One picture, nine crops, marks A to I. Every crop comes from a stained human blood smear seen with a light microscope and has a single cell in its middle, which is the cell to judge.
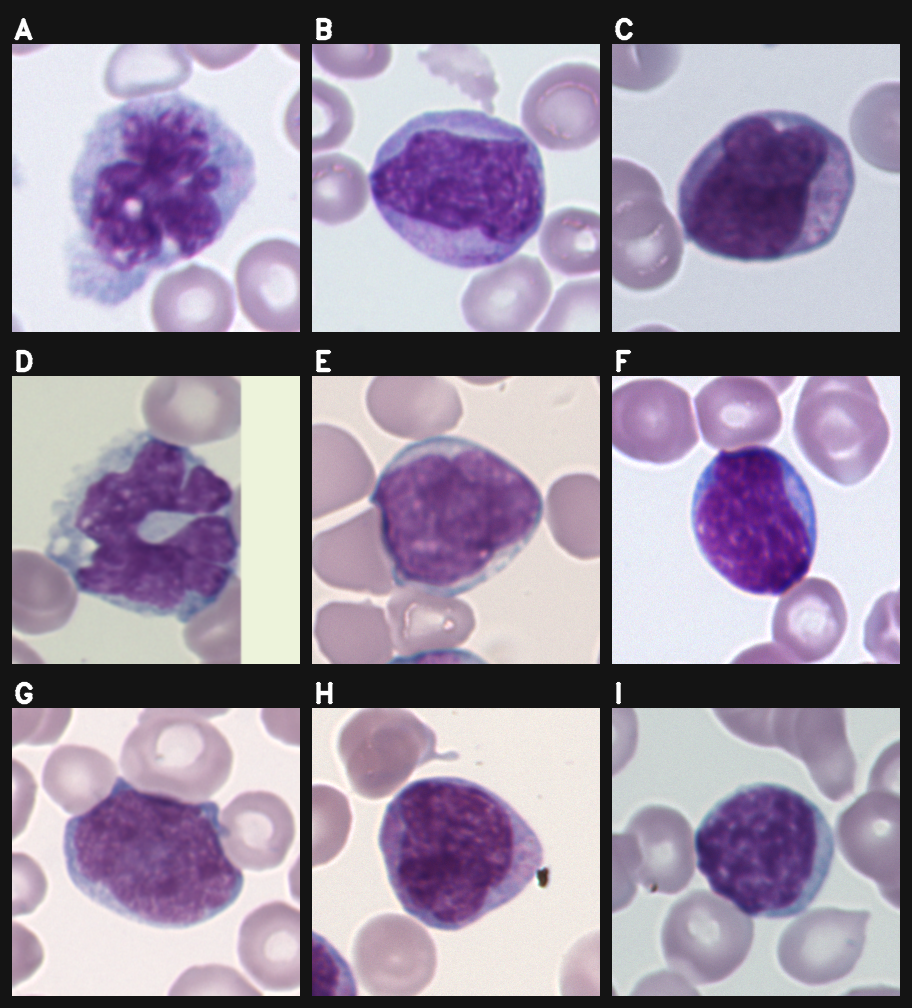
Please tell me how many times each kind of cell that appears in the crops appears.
myeloblast: 4
atypical promyelocyte: 3
monocyte: 2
